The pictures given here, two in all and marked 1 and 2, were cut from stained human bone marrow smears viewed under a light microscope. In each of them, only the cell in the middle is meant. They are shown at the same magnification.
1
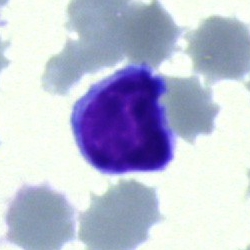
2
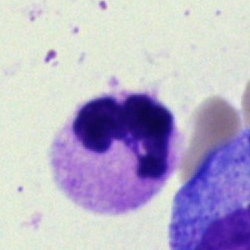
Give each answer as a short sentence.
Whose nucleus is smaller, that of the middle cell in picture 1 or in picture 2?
Picture 2 shows the smaller nucleus, since that in picture 1 covers about 1.5 times as much area.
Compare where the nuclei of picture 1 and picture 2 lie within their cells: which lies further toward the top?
It is the nucleus in picture 2 that lies further toward the top of its cell.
